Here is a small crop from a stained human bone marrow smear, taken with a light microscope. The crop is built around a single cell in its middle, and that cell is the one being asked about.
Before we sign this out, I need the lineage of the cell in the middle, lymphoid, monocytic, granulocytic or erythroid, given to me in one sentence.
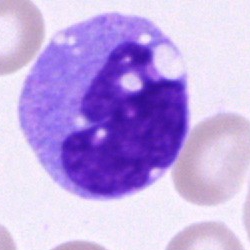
As for the cell in the middle, its lineage is monocytic.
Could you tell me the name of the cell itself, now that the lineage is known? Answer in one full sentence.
Here the centrally located cell is a monocyte.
